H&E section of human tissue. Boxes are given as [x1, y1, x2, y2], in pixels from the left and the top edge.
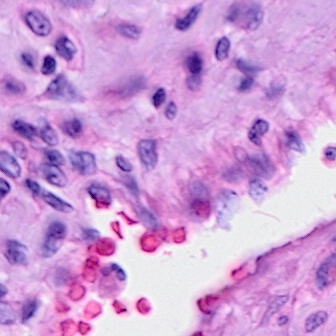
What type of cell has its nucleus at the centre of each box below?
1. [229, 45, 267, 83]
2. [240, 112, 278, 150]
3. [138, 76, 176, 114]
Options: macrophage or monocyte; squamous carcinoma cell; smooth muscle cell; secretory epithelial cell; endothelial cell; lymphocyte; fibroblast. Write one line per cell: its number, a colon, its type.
1: fibroblast
2: lymphocyte
3: lymphocyte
